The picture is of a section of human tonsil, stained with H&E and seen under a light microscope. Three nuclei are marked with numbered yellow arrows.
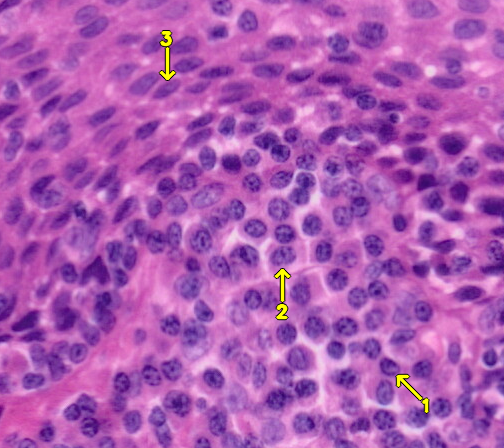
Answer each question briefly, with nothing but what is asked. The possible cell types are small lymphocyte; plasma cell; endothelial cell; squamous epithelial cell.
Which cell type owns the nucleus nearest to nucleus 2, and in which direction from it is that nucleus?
a plasma cell; above nucleus 2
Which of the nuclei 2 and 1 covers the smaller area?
1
